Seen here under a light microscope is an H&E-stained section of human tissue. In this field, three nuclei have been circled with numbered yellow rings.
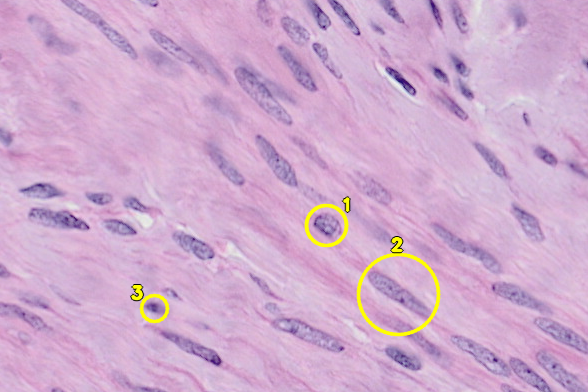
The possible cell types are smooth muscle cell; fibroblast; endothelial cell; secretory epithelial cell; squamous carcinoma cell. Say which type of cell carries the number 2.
smooth muscle cell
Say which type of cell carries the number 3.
fibroblast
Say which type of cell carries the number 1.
smooth muscle cell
